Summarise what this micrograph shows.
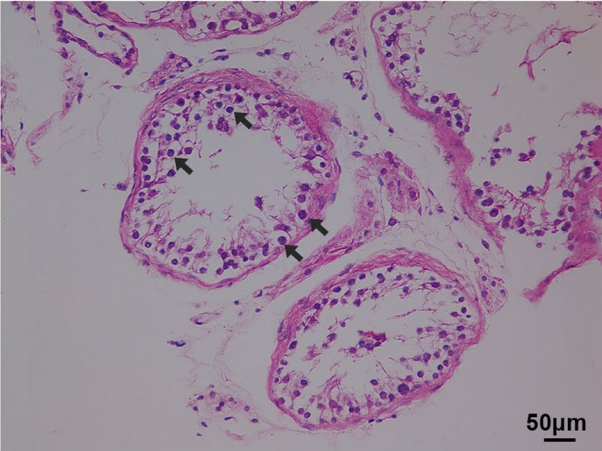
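A seminiferous tubule cut in cross-section has a thick pink wall and an epithelium of several layers of cells with purple nuclei around a wide open lumen. Within the epithelium are round cells with large, round, dark nuclei, which are spermatocytes; a second smaller tubule lies below and loose connective tissue surrounds both.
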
